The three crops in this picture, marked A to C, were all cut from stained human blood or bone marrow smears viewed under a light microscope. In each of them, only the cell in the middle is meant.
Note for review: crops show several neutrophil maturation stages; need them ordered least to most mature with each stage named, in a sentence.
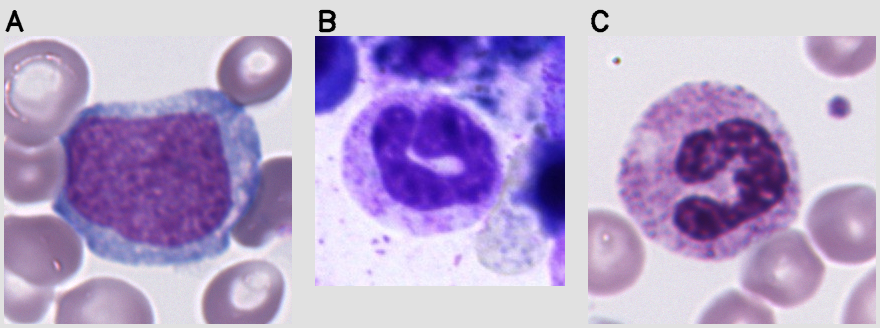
The order from the least mature cell to the most mature cell is crop A (a promyelocyte), crop B (a band neutrophil) and crop C (a segmented neutrophil).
